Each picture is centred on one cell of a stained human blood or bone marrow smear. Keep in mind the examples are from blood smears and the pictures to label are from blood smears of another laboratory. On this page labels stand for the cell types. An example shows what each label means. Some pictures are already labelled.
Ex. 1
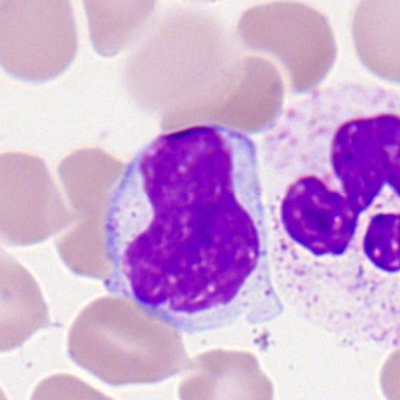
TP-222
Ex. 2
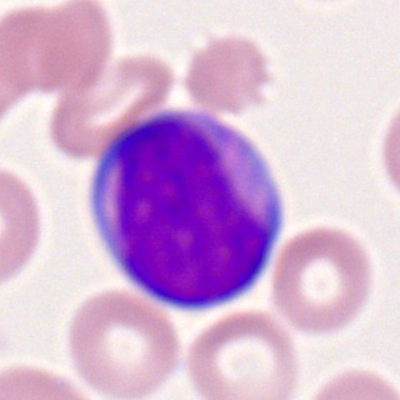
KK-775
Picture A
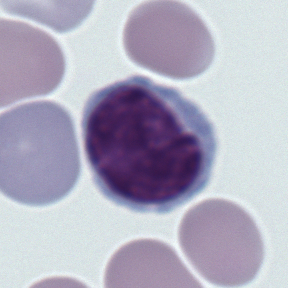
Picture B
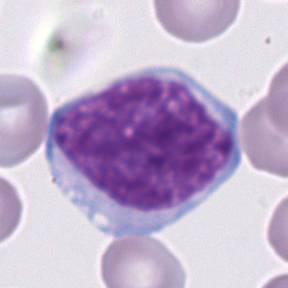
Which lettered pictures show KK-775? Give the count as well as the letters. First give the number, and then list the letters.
1, namely B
